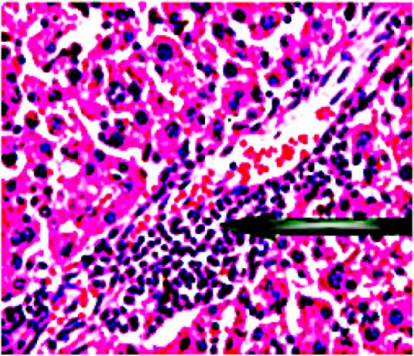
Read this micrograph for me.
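This is liver near a portal area, where a vessel filled with red blood cells runs diagonally across the field. Beside it lies a dense aggregate of small cells with round, darkly staining nuclei and little cytoplasm, the inflammatory cells crowding the portal tract. Around this, hepatocytes with pink cytoplasm and round nuclei form the surrounding parenchyma, separated by sinusoids.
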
